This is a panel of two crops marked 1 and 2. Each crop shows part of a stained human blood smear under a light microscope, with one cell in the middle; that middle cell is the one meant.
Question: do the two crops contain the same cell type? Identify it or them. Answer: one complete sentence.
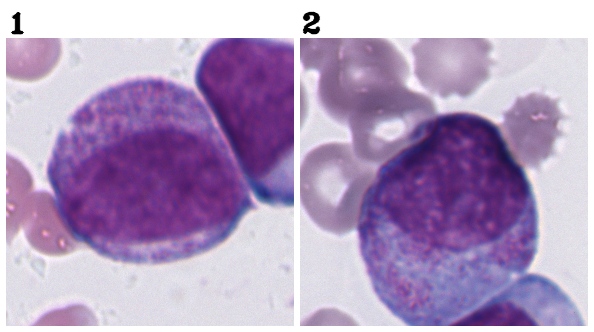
Yes, that is right, both crops show promyelocytes.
